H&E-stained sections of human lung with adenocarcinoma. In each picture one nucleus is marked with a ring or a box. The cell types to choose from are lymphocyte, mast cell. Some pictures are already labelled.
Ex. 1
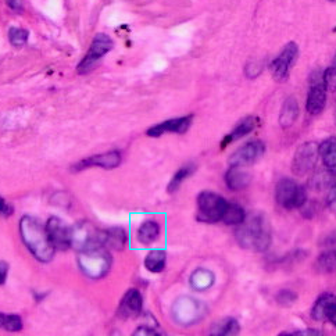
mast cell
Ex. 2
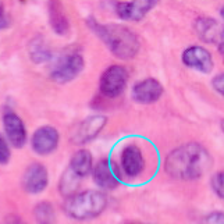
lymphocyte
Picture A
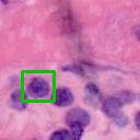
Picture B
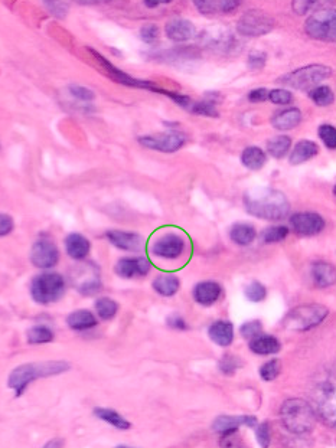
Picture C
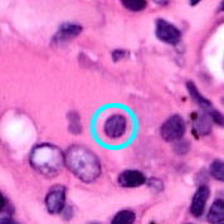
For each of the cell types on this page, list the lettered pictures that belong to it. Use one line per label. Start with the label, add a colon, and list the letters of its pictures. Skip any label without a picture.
lymphocyte: A, B, C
